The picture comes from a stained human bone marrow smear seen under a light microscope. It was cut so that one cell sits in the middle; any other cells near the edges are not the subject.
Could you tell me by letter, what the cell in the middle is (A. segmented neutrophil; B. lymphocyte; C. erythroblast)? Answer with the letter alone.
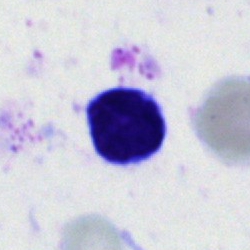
B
